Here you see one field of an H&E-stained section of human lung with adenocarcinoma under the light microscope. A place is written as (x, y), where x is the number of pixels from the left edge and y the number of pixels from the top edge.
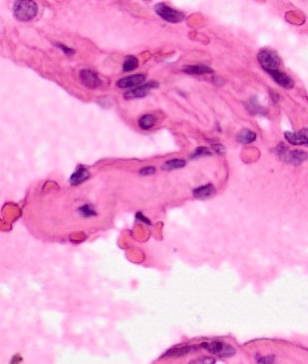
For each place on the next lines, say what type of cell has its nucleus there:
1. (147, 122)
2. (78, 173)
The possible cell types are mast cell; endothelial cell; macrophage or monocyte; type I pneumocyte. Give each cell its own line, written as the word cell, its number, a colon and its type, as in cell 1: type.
cell 1: mast cell
cell 2: type I pneumocyte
